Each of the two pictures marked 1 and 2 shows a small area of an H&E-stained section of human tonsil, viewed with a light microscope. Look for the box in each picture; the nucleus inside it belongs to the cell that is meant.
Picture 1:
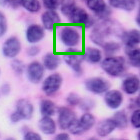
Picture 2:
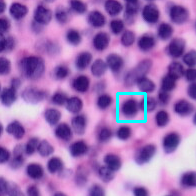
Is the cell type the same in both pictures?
yes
